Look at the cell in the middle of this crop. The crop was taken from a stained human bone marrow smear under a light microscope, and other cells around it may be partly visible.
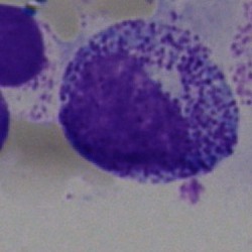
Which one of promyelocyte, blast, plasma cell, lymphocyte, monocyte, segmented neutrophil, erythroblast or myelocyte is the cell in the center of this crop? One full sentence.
At the center of the crop sits a myelocyte.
